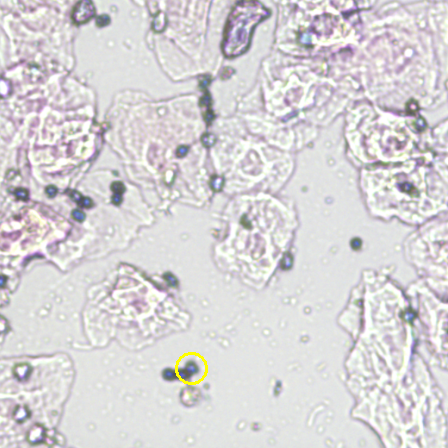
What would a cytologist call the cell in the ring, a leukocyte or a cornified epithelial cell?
A cytologist would call it a leukocyte.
